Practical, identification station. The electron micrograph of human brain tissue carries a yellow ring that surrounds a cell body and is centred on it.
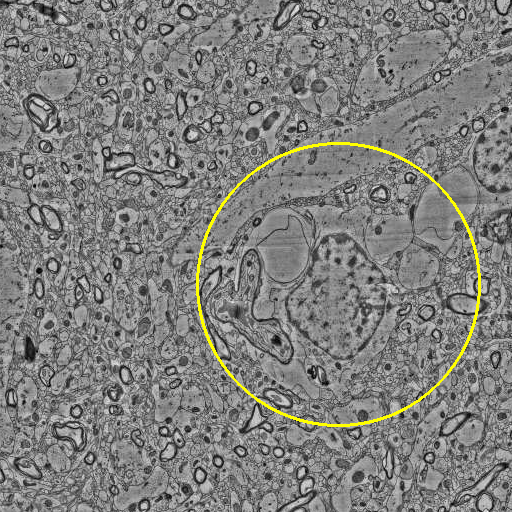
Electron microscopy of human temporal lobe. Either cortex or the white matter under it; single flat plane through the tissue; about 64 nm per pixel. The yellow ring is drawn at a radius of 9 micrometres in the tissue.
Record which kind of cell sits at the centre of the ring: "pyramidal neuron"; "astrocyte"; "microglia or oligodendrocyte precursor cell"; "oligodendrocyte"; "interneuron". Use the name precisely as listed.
microglia or oligodendrocyte precursor cell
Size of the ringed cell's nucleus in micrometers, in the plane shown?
The nucleus appears roughly 8 by 6 micrometres in this plane.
